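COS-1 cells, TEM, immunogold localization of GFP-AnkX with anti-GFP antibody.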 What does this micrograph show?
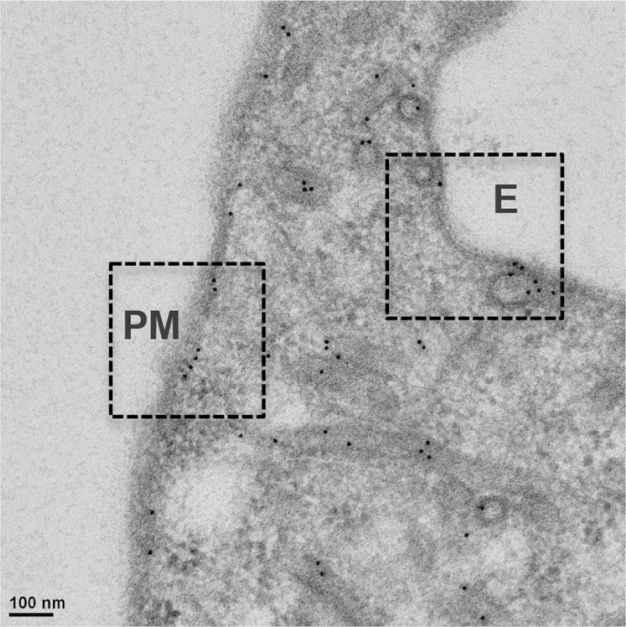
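This thin section runs through the edge of a cultured cell, with the plasma membrane bordering the pale extracellular space on the left and a deep indentation at the upper right. Small round membrane-bound vesicles lie close beneath the surface. Black gold particles are scattered along the membrane, over the vesicles and through the granular cytoplasm.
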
